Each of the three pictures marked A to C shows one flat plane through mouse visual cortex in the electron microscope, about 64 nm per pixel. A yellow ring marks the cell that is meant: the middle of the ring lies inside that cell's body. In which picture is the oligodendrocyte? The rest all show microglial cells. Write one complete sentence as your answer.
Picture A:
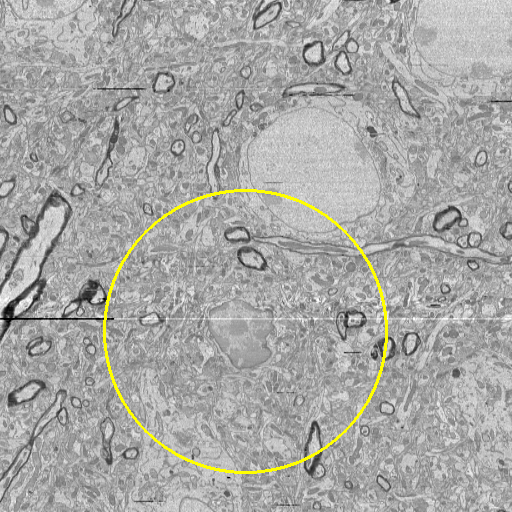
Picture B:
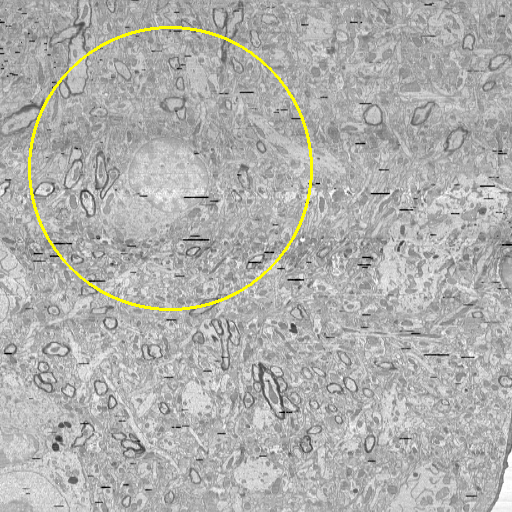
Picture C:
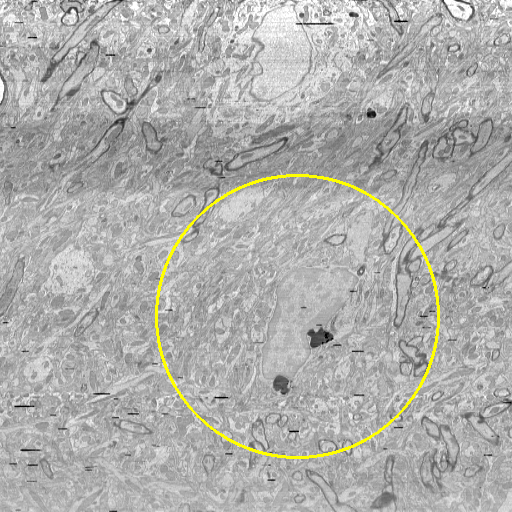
It is picture B that shows the oligodendrocyte.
